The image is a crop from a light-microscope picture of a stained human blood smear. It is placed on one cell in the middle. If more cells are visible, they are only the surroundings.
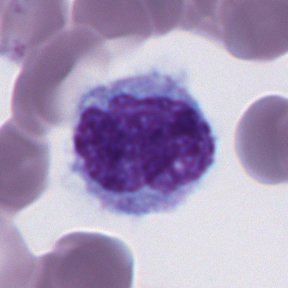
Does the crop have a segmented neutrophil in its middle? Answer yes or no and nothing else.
no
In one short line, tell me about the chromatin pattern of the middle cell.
Heads up, the chromatin in this one is coarsely clumped.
